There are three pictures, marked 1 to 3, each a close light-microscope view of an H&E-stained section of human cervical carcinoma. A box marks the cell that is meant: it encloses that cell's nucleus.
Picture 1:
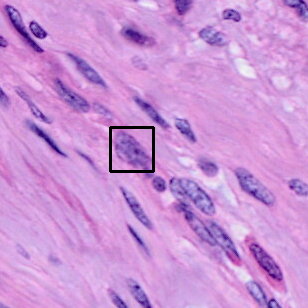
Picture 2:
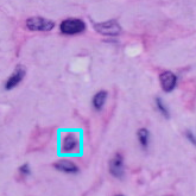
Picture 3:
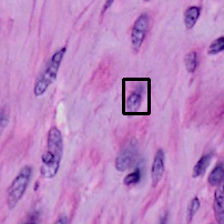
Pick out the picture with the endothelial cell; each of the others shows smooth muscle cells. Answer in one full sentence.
The cell in picture 1 is the endothelial cell.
